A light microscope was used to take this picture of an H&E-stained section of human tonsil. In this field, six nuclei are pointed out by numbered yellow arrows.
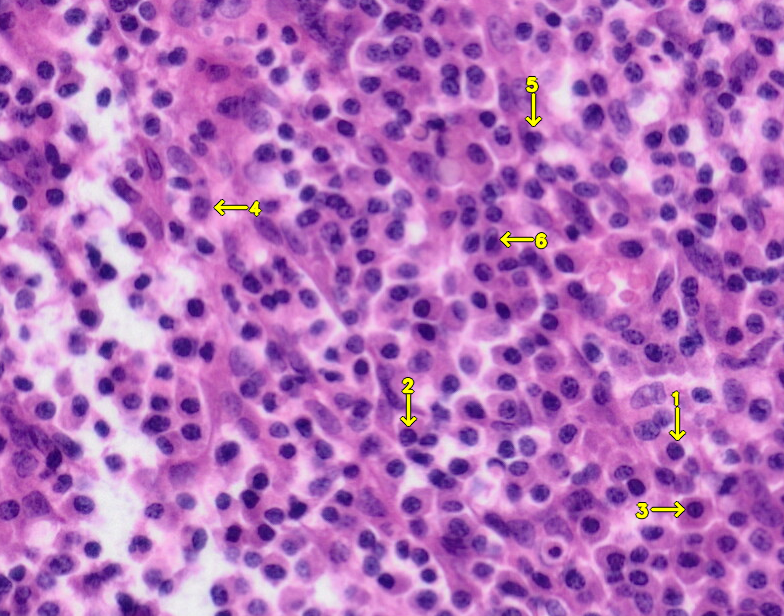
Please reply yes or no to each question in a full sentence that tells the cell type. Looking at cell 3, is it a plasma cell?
Yes, the cell given number 3 is a plasma cell.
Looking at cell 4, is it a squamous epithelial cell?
Yes. The cell carrying number 4 is a squamous epithelial cell.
